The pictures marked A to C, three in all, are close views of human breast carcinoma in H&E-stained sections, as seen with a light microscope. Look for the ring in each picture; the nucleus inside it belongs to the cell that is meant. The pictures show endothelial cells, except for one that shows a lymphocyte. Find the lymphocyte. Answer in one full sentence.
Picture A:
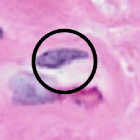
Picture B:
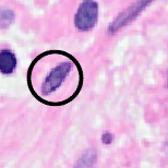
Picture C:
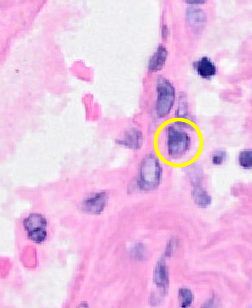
The cell in picture B is the lymphocyte.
